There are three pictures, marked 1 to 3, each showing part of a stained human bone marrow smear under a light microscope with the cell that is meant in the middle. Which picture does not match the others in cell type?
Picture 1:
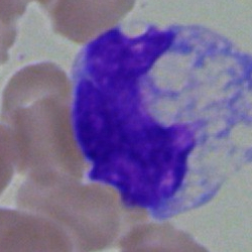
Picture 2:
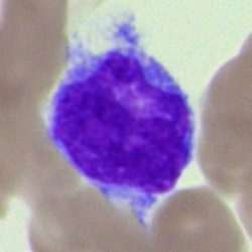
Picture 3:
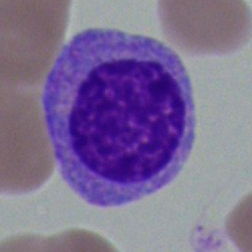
3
